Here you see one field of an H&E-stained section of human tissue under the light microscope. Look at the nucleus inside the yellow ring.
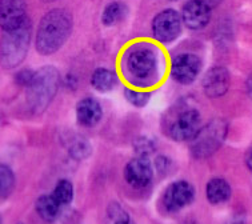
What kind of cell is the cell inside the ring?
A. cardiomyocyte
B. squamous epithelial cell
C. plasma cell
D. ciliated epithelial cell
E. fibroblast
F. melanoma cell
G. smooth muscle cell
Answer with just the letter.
C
